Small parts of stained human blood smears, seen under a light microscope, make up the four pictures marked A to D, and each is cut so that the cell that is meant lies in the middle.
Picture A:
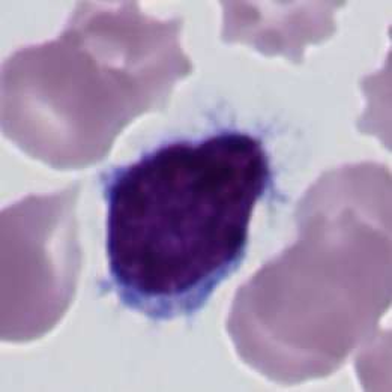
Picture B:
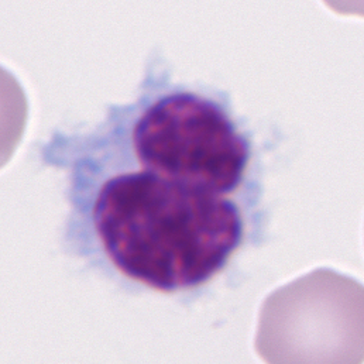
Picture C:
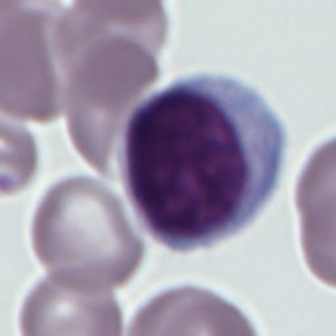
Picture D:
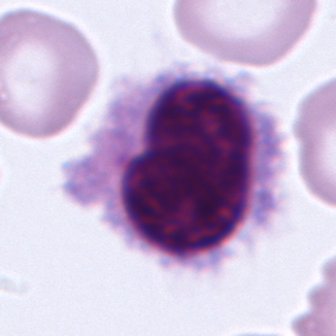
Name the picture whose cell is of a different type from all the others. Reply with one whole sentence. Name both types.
The different one is picture C; it shows a typical lymphocyte, whereas all the others show hairy cells.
